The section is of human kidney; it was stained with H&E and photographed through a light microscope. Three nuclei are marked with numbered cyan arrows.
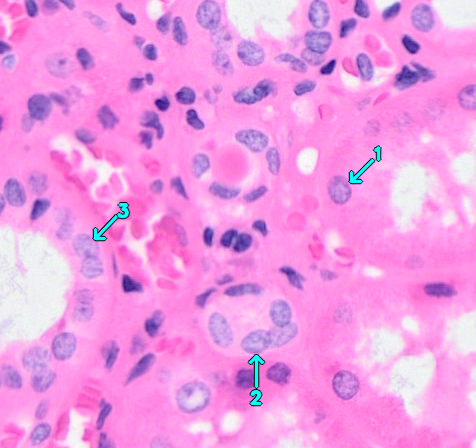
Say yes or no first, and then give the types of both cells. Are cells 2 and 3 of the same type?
Yes, both of the cells numbered 2 and 3 are collecting duct cells.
